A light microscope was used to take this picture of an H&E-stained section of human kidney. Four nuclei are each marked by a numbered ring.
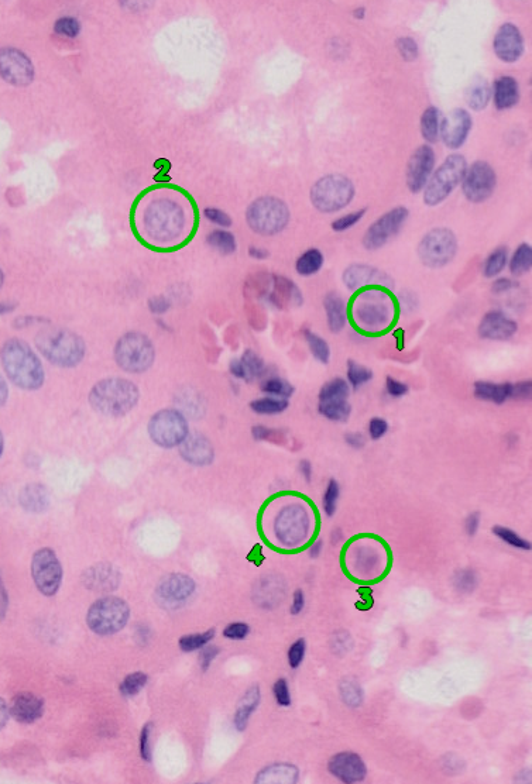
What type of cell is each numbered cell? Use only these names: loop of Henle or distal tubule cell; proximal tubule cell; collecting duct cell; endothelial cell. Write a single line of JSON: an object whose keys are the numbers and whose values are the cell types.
{"1": "collecting duct cell", "2": "proximal tubule cell", "3": "proximal tubule cell", "4": "proximal tubule cell"}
